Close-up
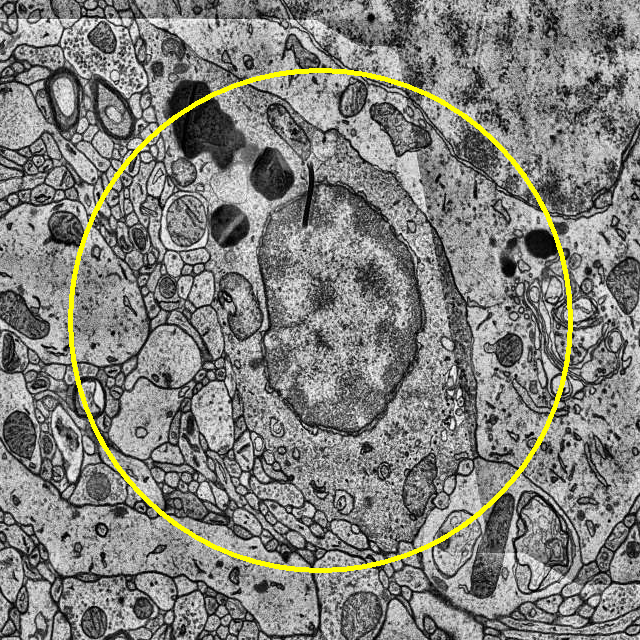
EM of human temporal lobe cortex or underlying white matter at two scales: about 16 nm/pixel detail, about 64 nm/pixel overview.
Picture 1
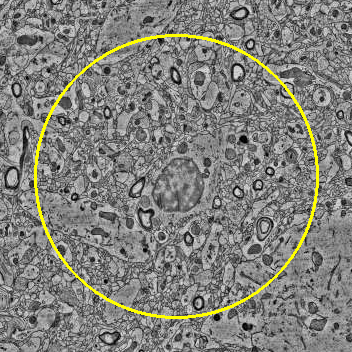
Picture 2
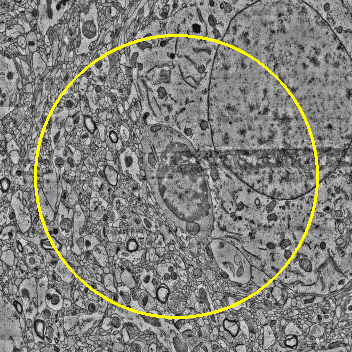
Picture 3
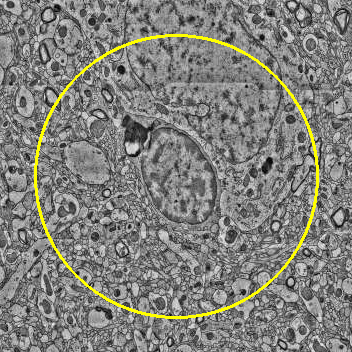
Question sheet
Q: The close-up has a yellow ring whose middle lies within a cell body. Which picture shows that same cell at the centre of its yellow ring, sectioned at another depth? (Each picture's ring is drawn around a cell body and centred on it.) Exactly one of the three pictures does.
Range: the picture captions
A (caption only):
Picture 3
